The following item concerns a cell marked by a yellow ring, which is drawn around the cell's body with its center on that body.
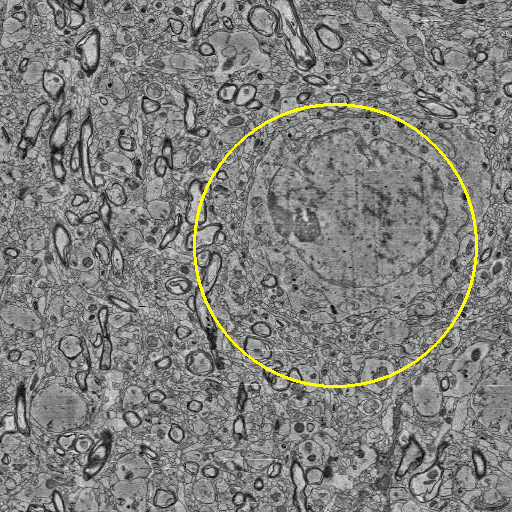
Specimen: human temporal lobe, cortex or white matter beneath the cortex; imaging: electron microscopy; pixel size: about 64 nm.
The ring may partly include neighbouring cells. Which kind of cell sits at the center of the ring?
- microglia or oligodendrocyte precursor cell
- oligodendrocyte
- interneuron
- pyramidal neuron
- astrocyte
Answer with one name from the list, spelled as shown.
interneuron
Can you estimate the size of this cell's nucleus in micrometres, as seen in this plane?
About 11 micrometres across in this plane, for the nucleus.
